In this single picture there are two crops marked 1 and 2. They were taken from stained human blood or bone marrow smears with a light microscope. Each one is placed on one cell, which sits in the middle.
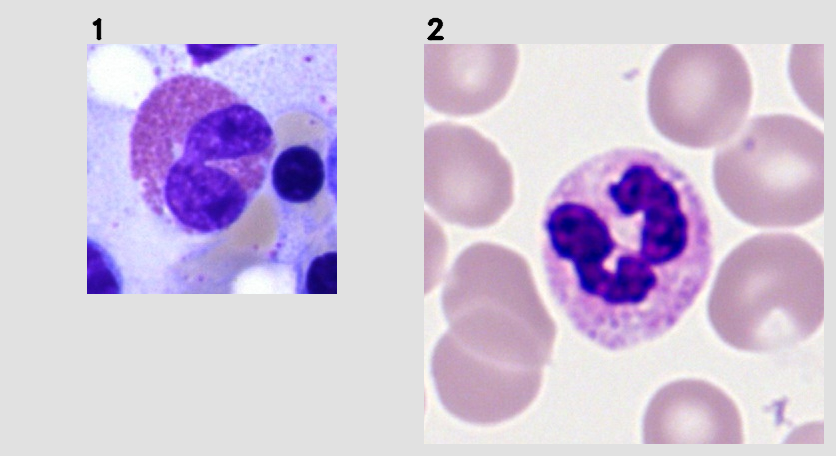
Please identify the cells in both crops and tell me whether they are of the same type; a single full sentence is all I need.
No, enter an eosinophil for crop 1 and a segmented neutrophil for crop 2.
